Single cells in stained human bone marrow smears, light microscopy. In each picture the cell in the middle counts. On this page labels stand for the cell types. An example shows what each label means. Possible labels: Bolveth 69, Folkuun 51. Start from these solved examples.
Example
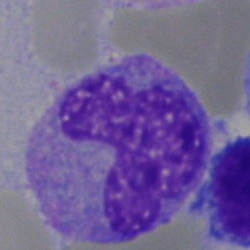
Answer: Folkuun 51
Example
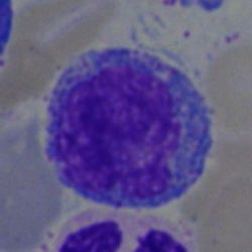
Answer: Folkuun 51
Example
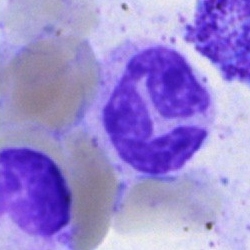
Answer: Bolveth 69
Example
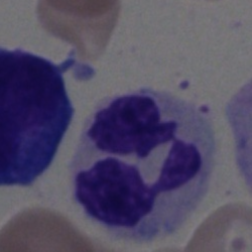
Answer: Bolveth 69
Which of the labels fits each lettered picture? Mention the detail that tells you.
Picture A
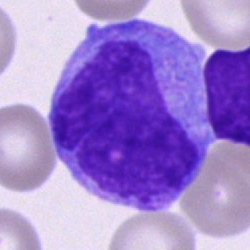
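Folkuun 51. The nucleus fills most of the cell.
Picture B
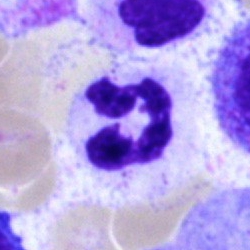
Bolveth 69. The cytoplasm holds many fine pink-lilac granules.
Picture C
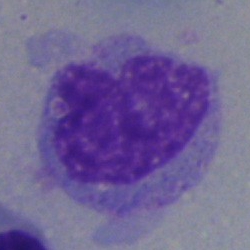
Folkuun 51. The nucleus fills most of the cell.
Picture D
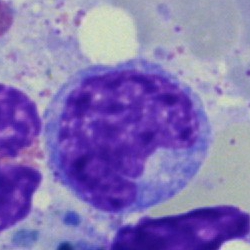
Folkuun 51. The nucleus fills most of the cell.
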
